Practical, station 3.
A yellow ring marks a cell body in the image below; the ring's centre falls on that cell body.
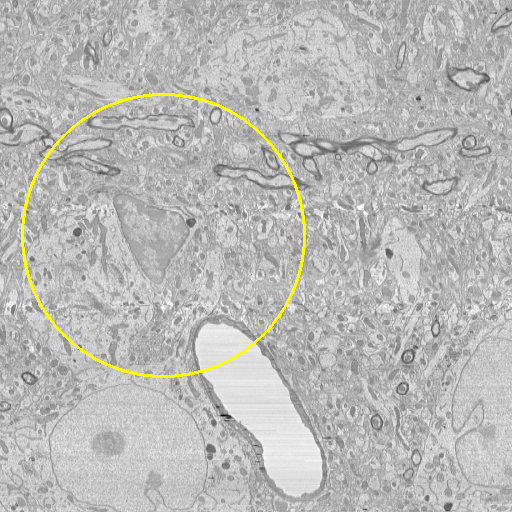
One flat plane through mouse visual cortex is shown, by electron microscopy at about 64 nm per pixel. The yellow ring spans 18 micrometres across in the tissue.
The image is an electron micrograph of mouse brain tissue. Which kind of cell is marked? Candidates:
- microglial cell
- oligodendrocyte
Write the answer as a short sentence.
The marked cell body is that of a microglial cell.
